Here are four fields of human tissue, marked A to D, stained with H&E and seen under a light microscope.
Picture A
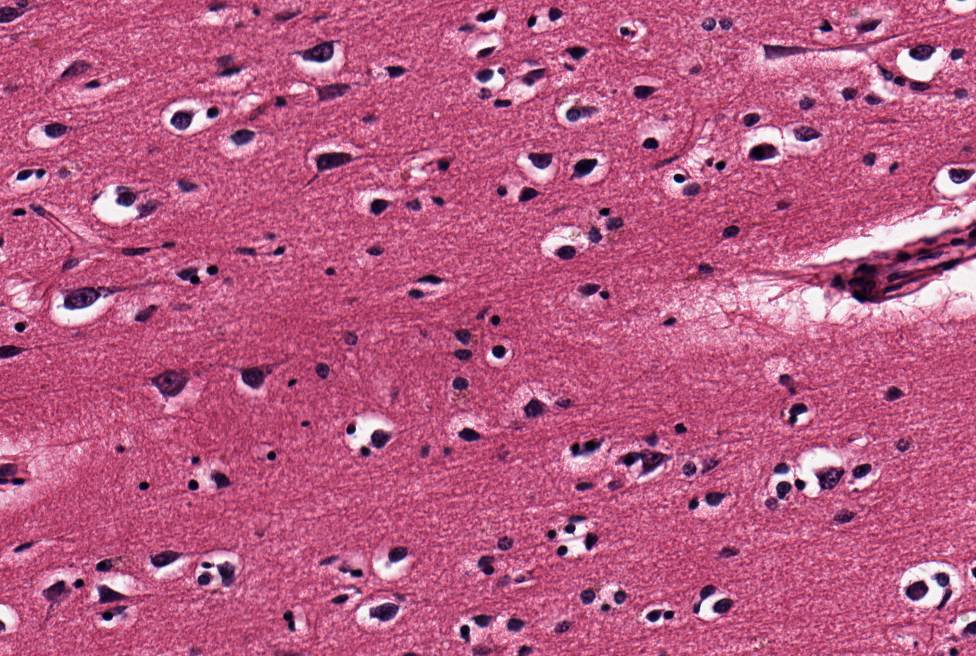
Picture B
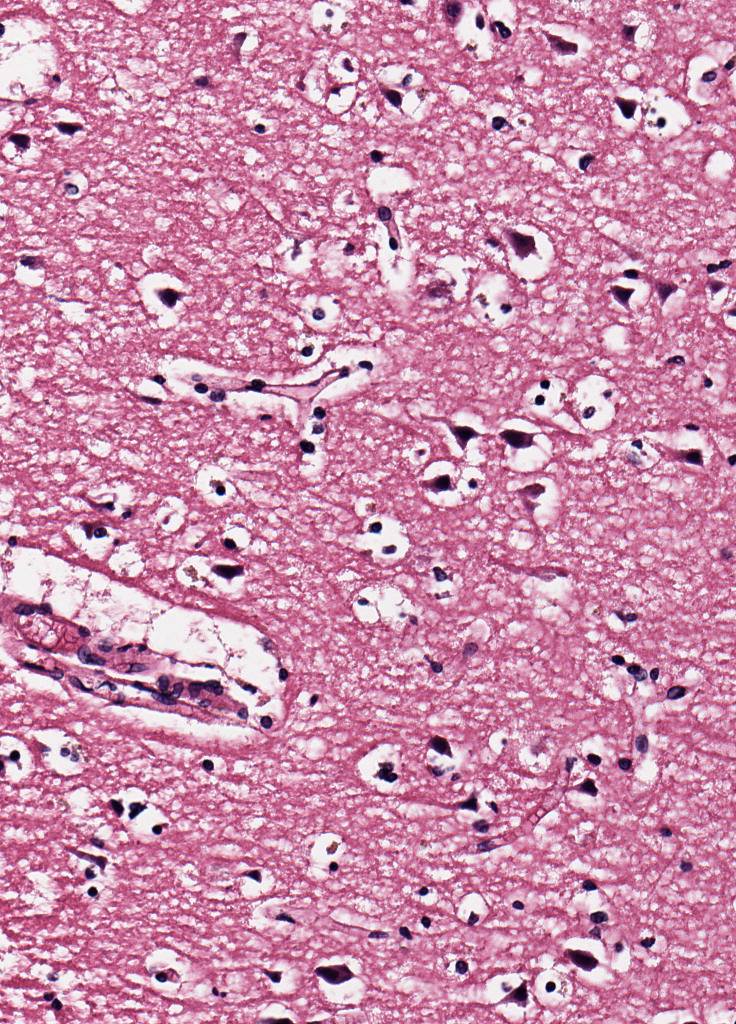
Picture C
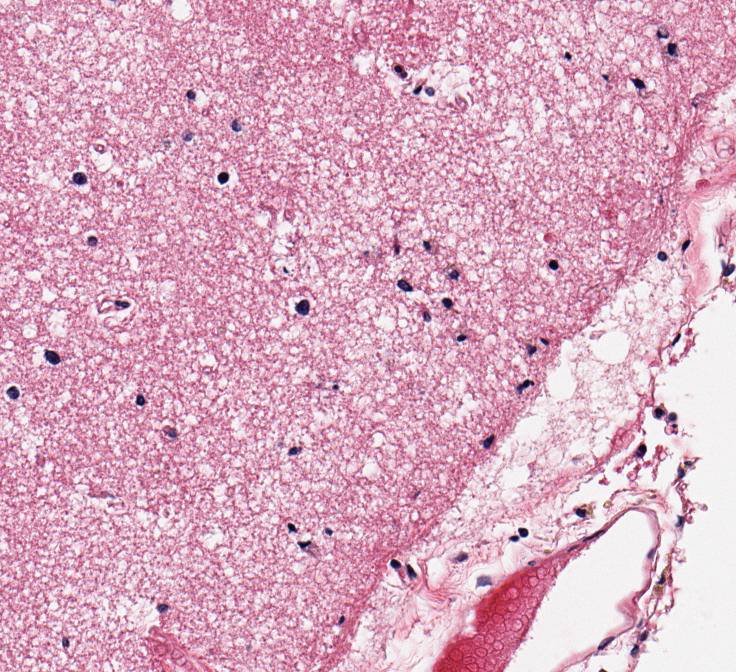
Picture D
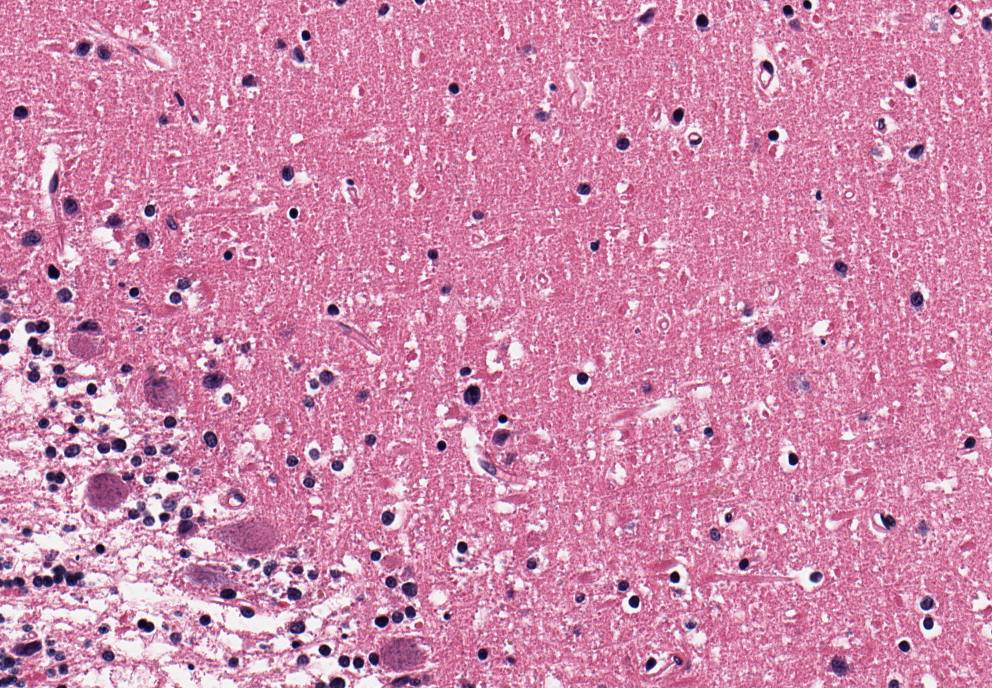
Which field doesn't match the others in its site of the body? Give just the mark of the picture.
D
